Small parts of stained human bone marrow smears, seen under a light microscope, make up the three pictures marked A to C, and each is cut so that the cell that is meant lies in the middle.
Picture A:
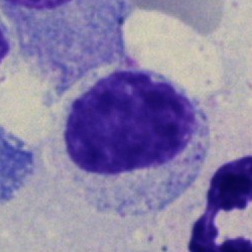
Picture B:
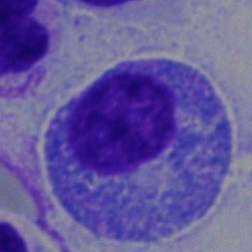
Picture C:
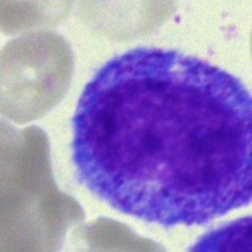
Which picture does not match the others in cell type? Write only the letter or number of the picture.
A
